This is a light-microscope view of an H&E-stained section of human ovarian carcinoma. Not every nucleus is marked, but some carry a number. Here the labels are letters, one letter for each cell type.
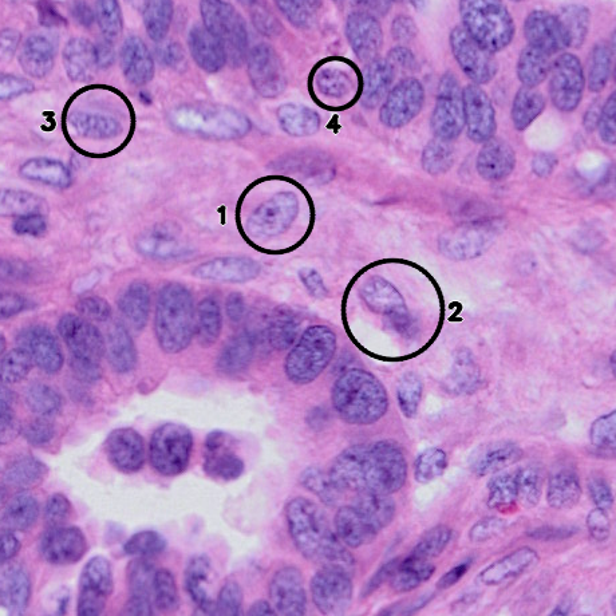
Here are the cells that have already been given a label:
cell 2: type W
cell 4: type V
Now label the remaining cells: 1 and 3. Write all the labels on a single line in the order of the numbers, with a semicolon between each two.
type W; type W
